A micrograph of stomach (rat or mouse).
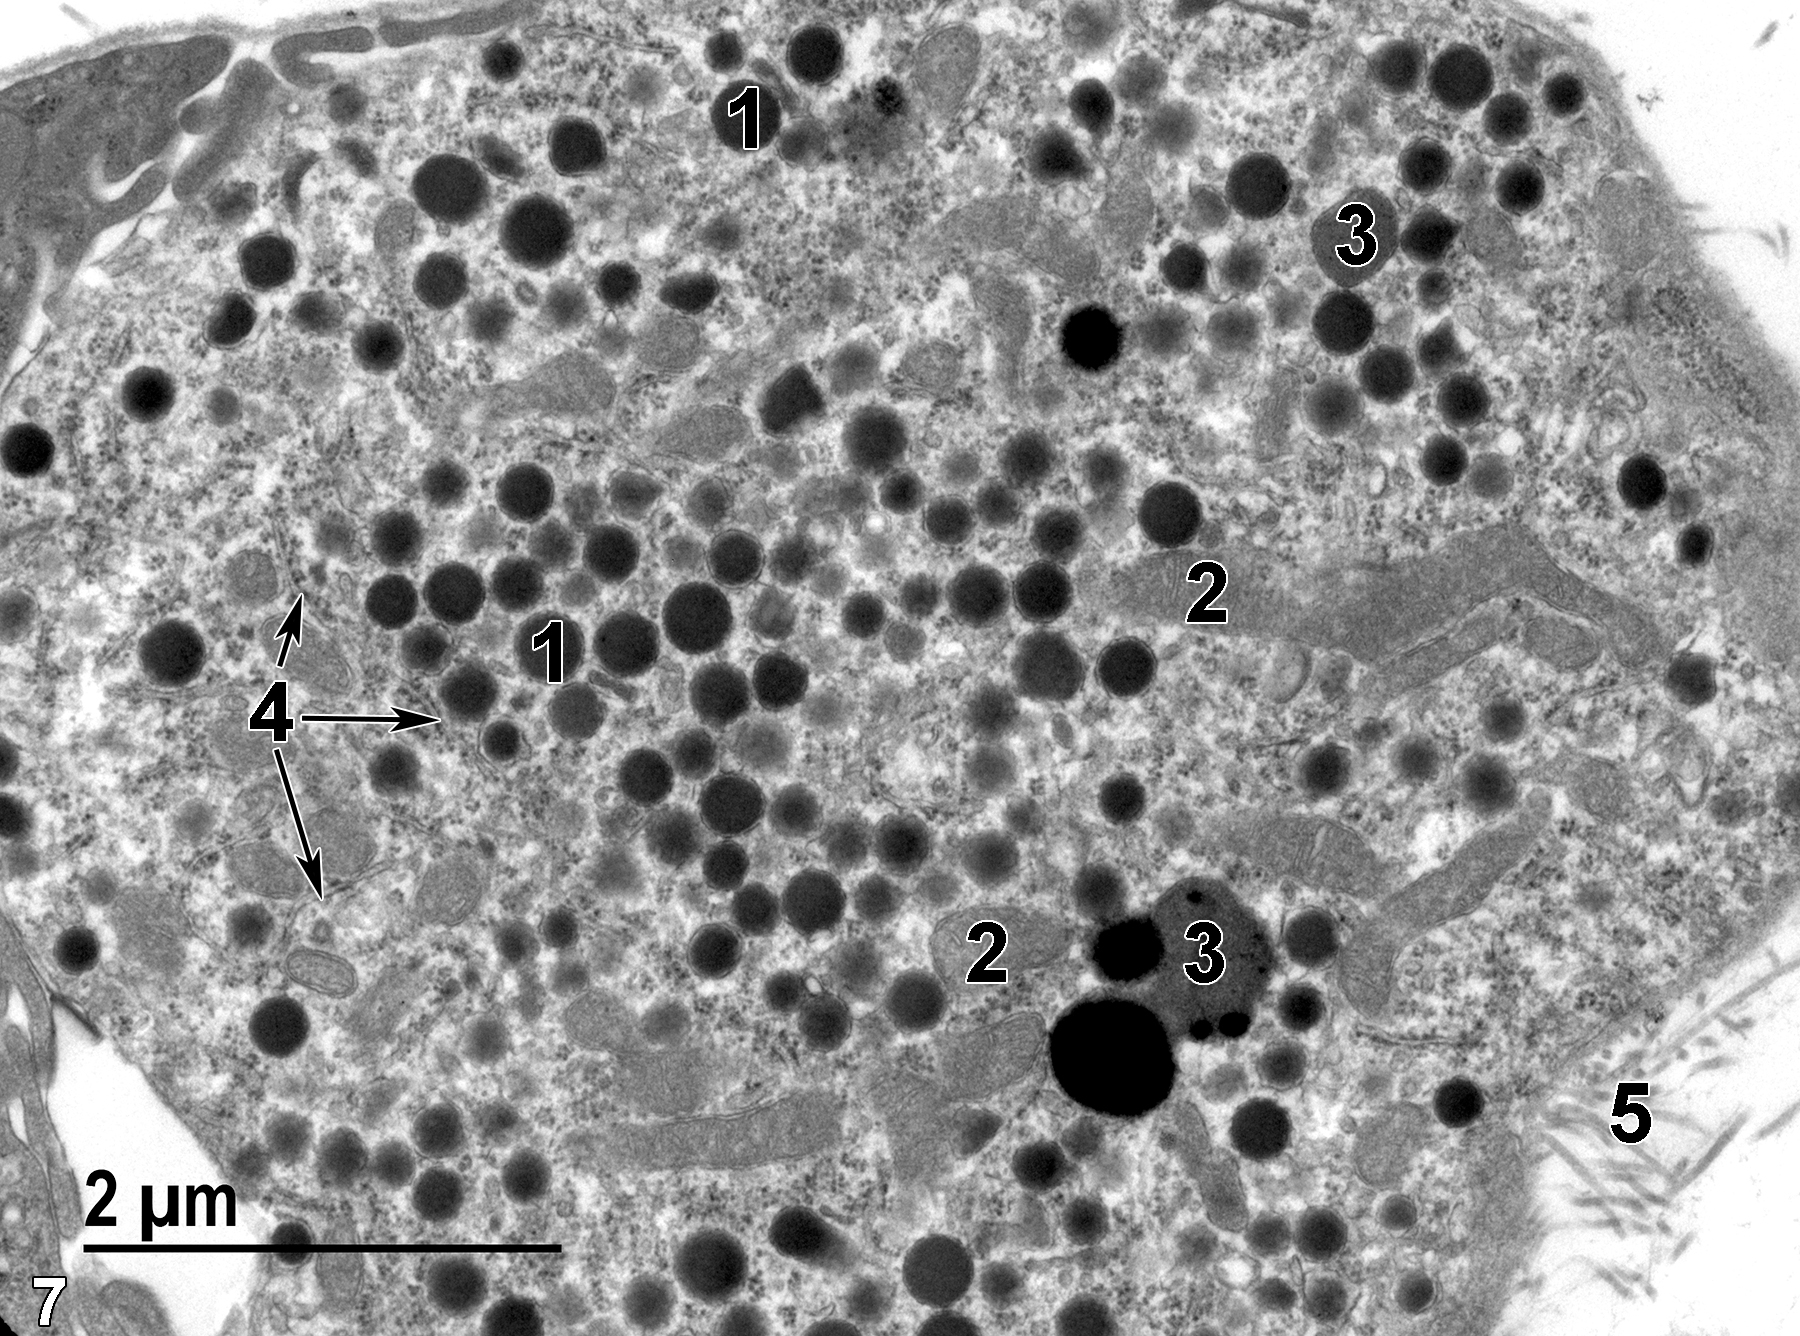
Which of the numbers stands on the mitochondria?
2.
